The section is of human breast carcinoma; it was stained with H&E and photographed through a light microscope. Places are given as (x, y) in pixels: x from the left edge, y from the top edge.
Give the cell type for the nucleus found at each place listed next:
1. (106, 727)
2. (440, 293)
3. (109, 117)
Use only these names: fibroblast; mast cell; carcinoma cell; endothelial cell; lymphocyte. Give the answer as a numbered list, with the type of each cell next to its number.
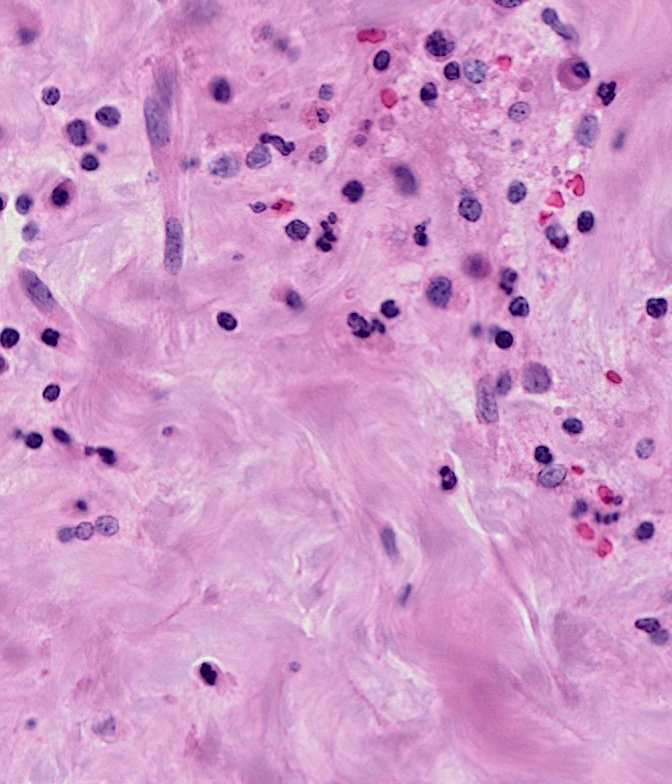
1. fibroblast
2. mast cell
3. lymphocyte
